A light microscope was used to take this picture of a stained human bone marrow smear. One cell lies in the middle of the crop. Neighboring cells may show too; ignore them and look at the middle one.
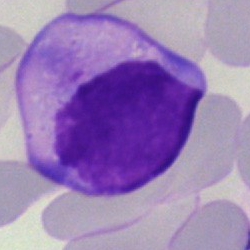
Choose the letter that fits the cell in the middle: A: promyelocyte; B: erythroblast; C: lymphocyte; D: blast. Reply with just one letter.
D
